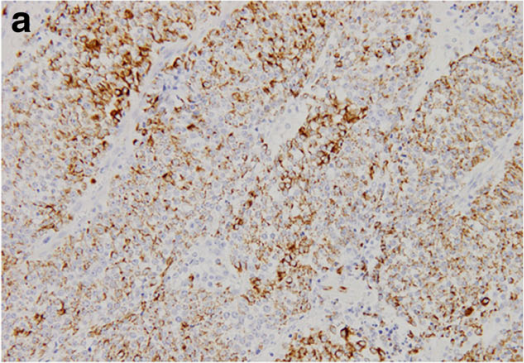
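Tumor tissue is made of sheets and nests of closely packed, fairly uniform round to oval cells. The nests are separated by thin, pale fibrous septa that run obliquely across the field. Many tumor cells show brown staining in the cytoplasm and along the cell borders, strongest in patches and weaker elsewhere. The stroma of the septa remains pale and unstained.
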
